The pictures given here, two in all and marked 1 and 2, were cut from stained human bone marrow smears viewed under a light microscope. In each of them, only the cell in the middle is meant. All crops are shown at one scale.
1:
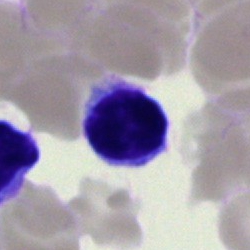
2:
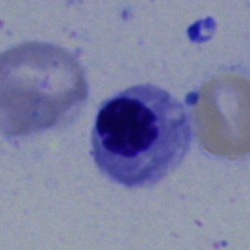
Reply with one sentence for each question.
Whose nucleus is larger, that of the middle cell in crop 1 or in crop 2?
Crop 1 shows the larger nucleus; it covers about 1.5 times the area of the nucleus in crop 2.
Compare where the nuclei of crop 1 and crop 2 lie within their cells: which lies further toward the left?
In crop 2 the nucleus is shifted more toward the left.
